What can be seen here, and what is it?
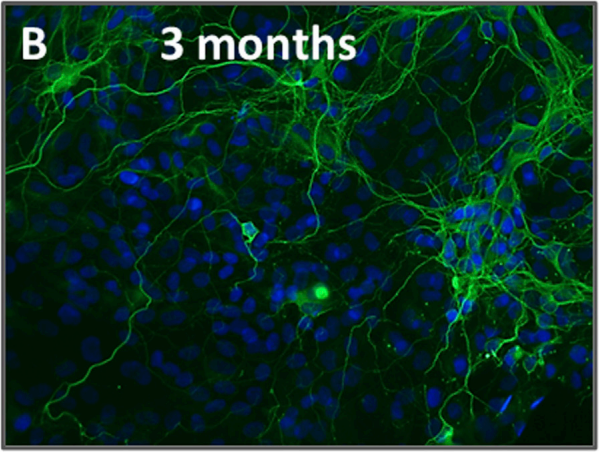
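This culture shows neurons among many other cells, with blue oval nuclei densely packed across the field. Green outlines a sparse network of long, thin, wavy processes that branch and gather into bundles, especially at the upper left and right. A few small green cell bodies sit within this network, while most blue nuclei lack any green around them.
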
